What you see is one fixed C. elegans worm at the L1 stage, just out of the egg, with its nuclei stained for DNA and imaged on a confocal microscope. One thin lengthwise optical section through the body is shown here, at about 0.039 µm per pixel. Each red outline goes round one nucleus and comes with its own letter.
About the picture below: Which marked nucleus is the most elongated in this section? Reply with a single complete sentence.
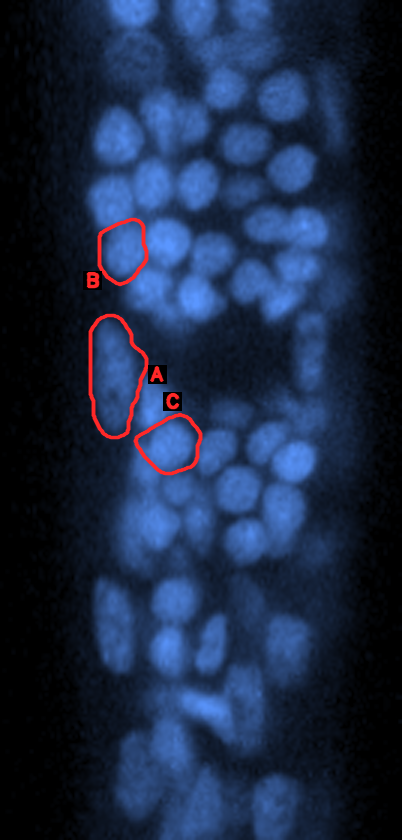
The most elongated nucleus is A.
